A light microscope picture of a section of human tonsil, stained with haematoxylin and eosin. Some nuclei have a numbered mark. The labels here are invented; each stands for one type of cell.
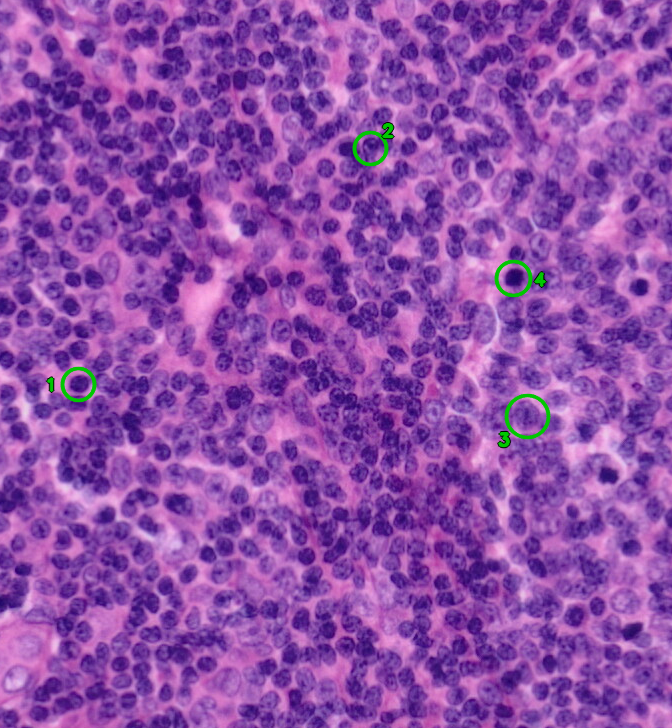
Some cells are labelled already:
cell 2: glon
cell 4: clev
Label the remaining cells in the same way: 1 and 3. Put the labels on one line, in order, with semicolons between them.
glon; clev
